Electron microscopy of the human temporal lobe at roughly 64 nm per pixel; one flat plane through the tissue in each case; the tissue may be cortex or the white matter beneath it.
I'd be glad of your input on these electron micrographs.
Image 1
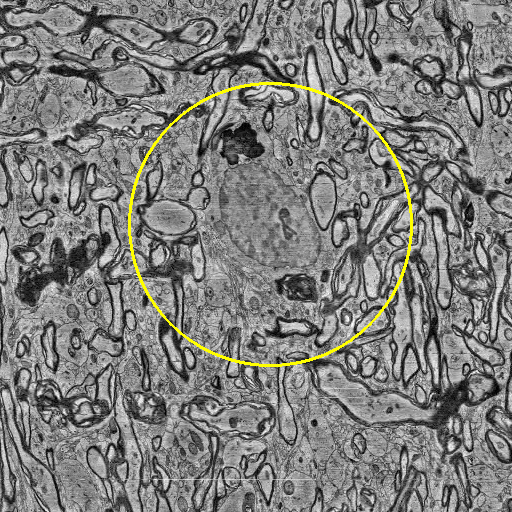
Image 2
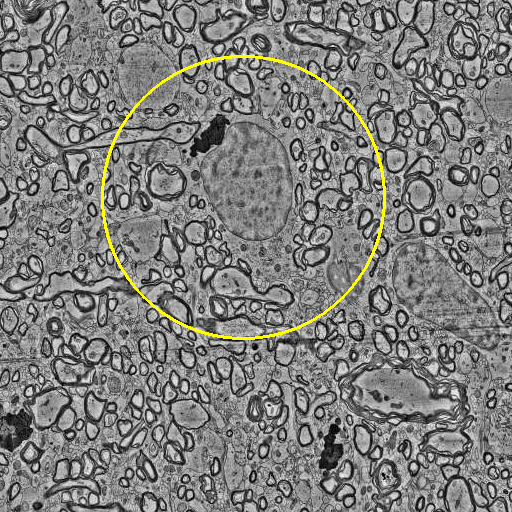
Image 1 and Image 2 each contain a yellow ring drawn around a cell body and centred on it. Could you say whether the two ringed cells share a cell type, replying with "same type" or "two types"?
same type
